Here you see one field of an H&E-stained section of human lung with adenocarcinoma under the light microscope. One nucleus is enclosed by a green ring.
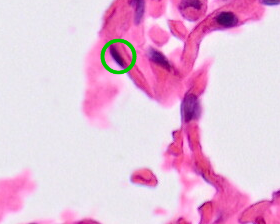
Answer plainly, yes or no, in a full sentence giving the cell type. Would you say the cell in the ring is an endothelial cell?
Yes, it is the case that the cell in the ring is an endothelial cell.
